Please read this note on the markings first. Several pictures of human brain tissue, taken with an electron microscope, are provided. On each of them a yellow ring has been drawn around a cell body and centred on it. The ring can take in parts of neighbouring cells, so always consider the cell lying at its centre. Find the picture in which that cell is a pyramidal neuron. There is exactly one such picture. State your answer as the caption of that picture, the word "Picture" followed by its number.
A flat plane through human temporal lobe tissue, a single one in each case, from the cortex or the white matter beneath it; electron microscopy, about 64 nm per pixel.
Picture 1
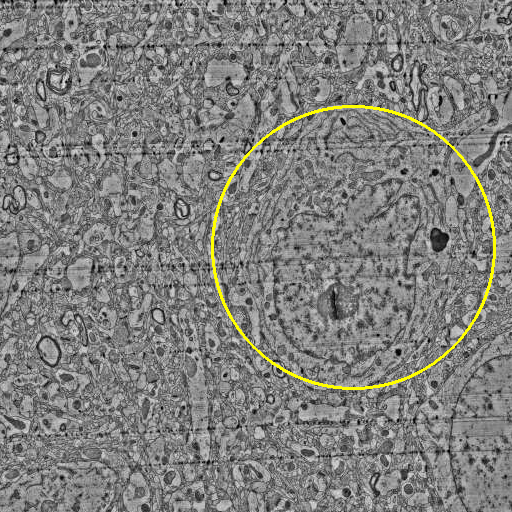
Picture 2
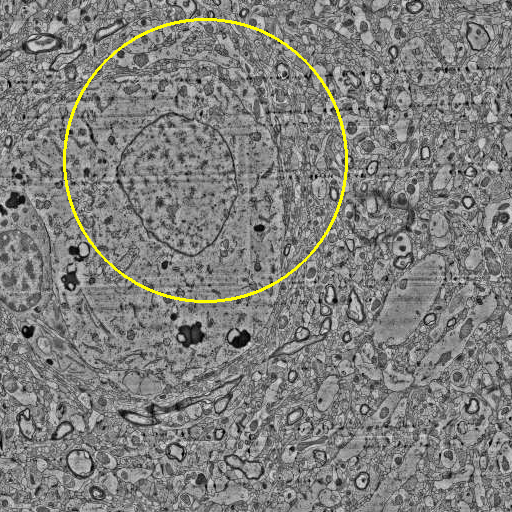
Picture 2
